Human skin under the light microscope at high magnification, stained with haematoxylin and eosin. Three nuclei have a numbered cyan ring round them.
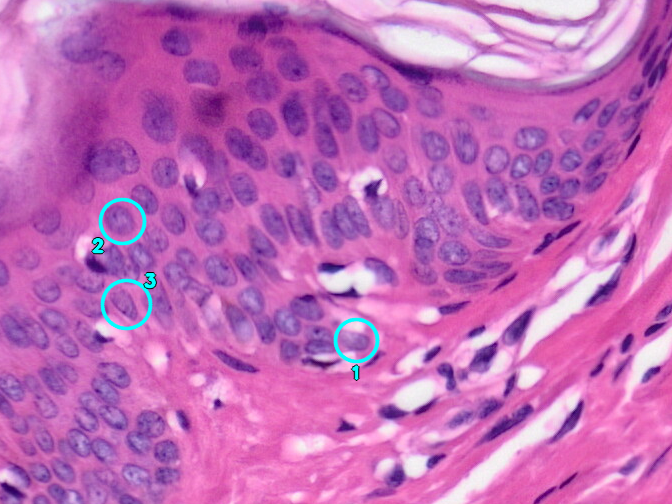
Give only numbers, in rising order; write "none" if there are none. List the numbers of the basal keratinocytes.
1, 3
